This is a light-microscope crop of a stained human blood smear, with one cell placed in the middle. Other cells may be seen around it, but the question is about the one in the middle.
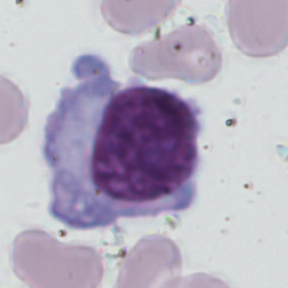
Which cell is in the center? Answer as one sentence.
Framed in the middle of the crop is a plasma cell.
